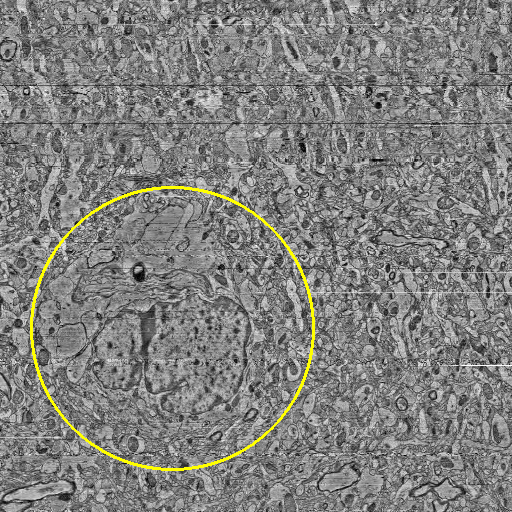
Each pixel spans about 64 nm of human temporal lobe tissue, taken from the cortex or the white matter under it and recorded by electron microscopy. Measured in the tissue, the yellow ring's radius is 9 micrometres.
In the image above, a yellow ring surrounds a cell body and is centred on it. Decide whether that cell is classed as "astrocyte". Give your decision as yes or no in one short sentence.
No, it belongs to another kind of cell.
